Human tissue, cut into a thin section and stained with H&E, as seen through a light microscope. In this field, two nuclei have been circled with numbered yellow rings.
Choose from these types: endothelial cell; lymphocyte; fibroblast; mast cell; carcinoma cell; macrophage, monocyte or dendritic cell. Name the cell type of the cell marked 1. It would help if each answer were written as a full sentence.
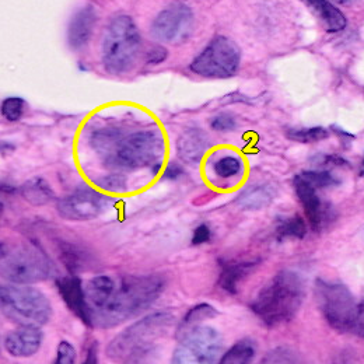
Cell 1 in the field of view is a carcinoma cell.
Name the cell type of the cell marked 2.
Of the numbered cells, the one labelled 2 is a lymphocyte.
